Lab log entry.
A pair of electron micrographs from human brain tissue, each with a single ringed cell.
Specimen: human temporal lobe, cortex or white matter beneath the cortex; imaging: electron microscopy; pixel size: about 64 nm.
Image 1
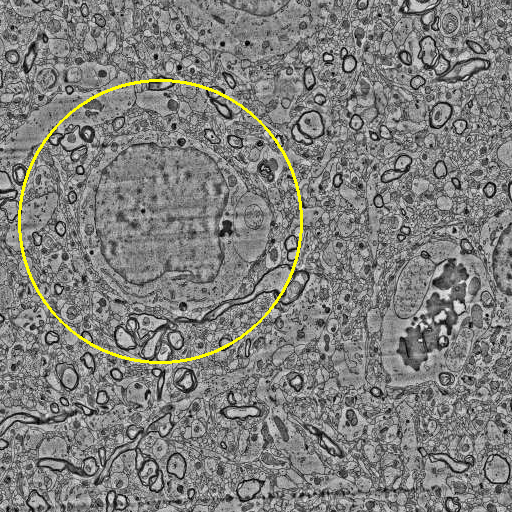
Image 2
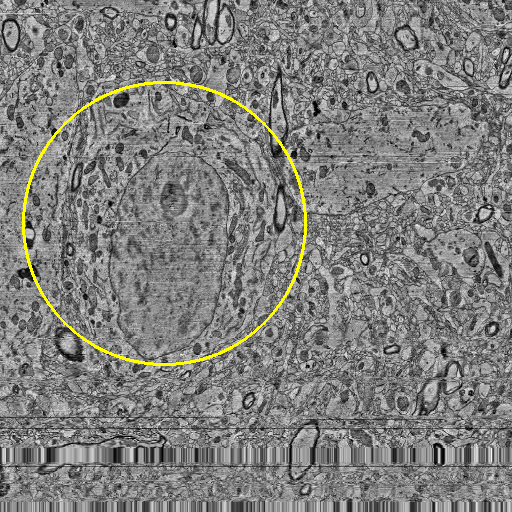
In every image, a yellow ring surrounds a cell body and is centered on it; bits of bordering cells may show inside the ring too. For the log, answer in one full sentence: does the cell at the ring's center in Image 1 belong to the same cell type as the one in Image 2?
Yes, the cells at the ring centers in Image 1 and Image 2 share one type.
